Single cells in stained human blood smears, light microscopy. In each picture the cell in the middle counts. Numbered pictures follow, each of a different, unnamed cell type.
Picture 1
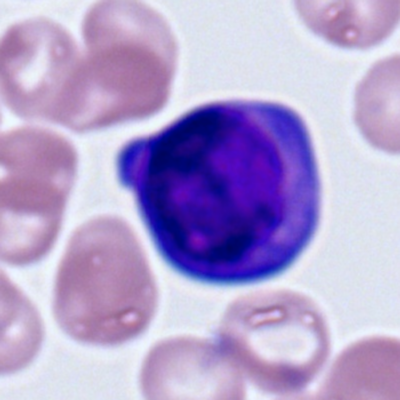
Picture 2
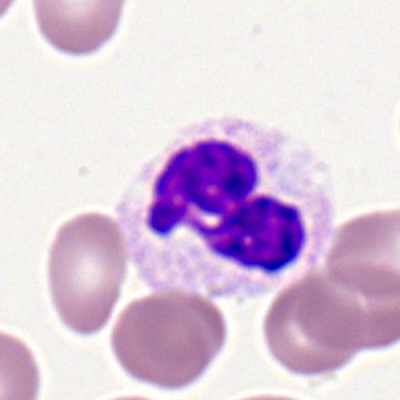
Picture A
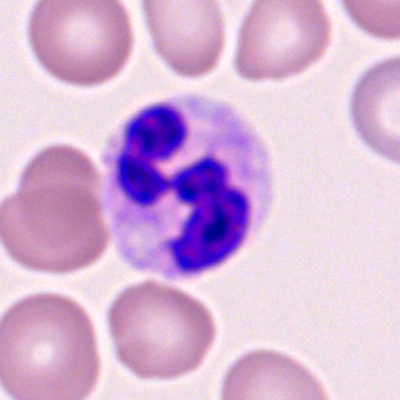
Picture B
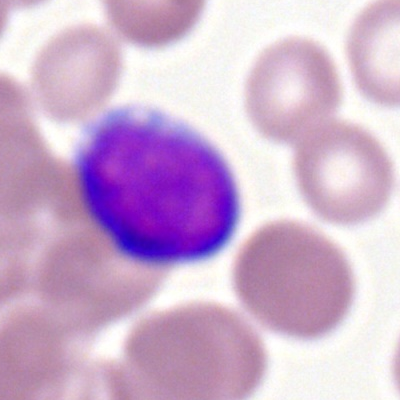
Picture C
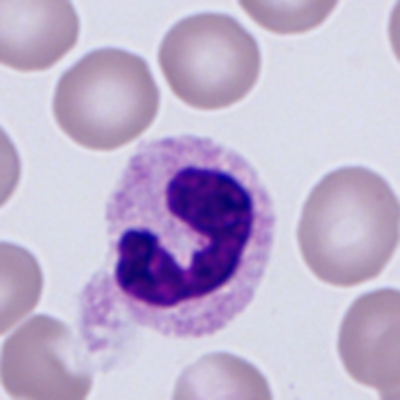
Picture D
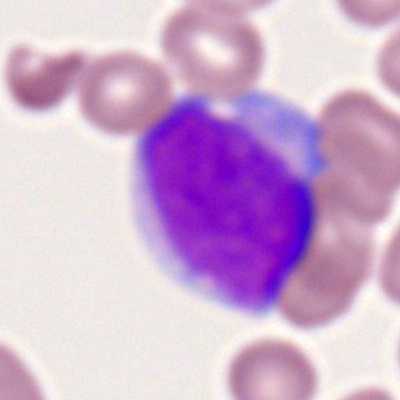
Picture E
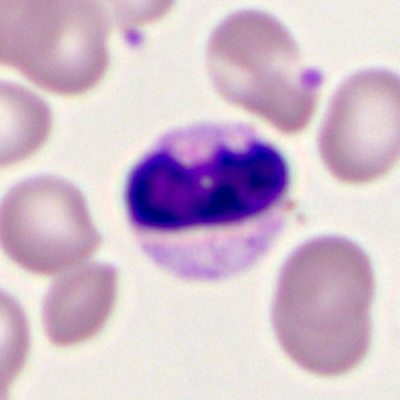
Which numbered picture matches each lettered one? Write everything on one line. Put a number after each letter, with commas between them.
A 2, B 1, C 2, D 1, E 2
